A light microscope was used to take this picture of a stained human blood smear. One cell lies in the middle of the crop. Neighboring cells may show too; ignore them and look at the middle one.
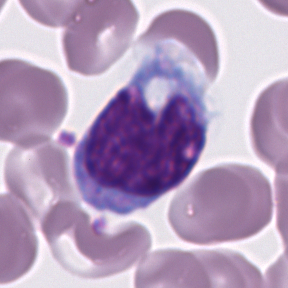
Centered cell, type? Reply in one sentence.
In this smear crop, the middle cell is a monocyte.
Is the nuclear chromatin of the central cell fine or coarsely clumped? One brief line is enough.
You can see that its chromatin is coarsely clumped.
